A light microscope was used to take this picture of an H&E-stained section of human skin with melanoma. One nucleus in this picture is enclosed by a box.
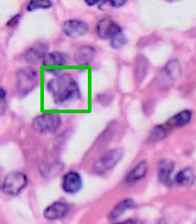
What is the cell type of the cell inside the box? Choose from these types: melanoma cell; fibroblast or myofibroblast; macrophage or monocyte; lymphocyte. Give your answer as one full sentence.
As for its identity, the cell inside the box is a melanoma cell.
